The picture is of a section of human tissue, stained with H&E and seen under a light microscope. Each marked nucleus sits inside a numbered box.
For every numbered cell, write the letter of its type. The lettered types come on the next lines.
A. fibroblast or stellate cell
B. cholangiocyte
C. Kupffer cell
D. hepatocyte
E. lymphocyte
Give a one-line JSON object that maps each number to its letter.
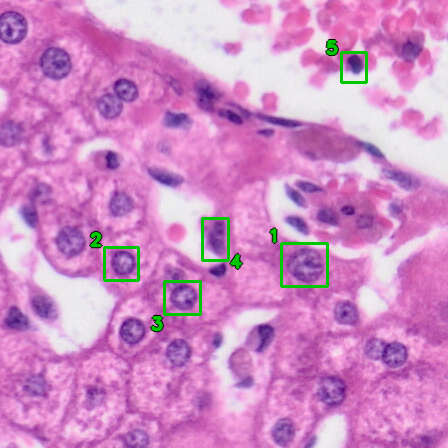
{"1": "D", "2": "D", "3": "D", "4": "C", "5": "E"}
